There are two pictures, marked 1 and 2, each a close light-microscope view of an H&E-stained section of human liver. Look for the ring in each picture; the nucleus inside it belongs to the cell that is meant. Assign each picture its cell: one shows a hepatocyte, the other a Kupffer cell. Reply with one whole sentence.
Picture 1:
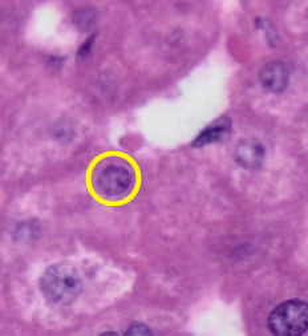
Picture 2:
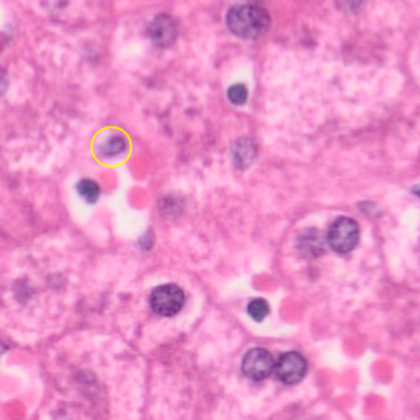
Picture 1 is of a hepatocyte, and picture 2 is of a Kupffer cell.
